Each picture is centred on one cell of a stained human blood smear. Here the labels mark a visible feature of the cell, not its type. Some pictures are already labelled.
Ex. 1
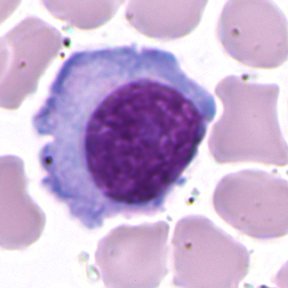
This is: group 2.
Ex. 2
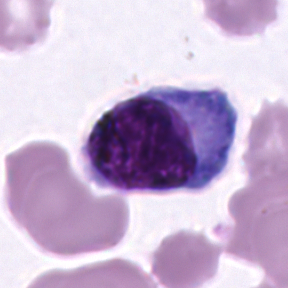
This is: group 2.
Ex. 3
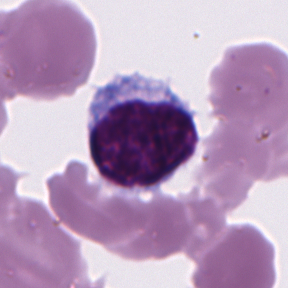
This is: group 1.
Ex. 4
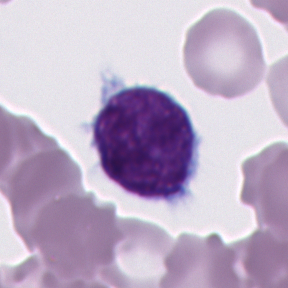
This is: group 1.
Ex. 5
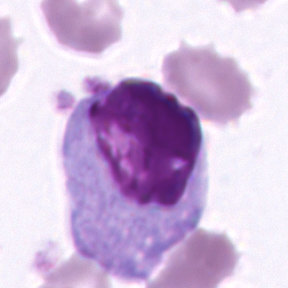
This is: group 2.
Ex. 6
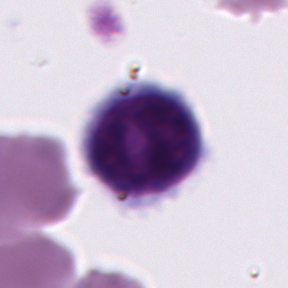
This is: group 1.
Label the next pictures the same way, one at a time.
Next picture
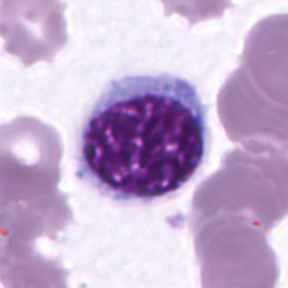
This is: group 1.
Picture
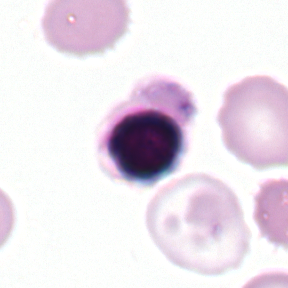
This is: group 1.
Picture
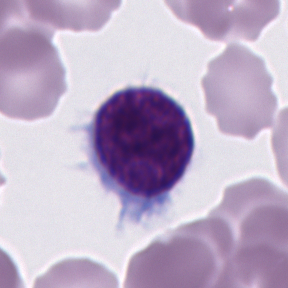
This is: group 1.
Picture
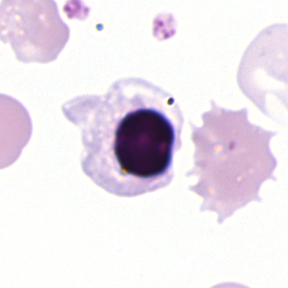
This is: group 2.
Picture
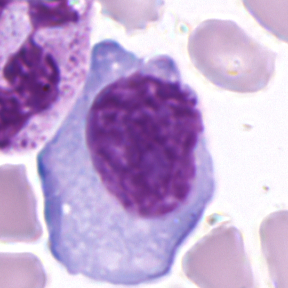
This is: group 2.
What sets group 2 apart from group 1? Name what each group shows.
In group 2: abundant cytoplasm. In group 1: scant cytoplasm.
